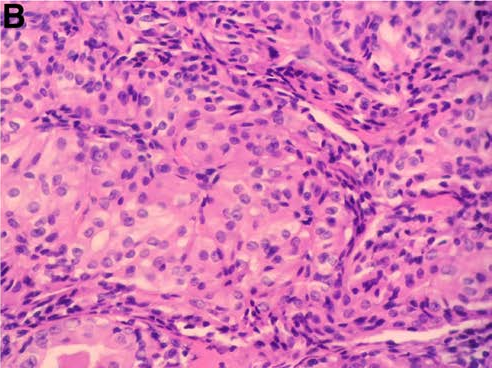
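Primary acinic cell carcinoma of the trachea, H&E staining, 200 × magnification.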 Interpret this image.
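This shows nests of tumour cells separated by thin strands of spindle-celled fibrous tissue with small vessels. The tumour cells are relatively uniform, round to polygonal, with abundant pale pink, finely granular to clear cytoplasm. Their nuclei are small, round and uniform, with fine chromatin and without marked atypia. Little variation in size and shape is seen from cell to cell, and mitotic figures are not evident. The thin septa contain darker, elongated nuclei that outline the cell groups.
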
